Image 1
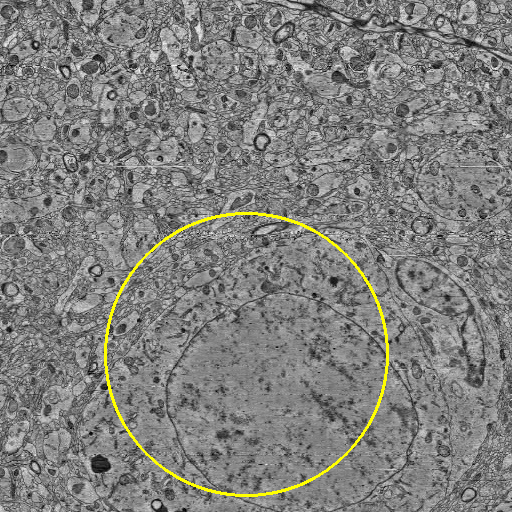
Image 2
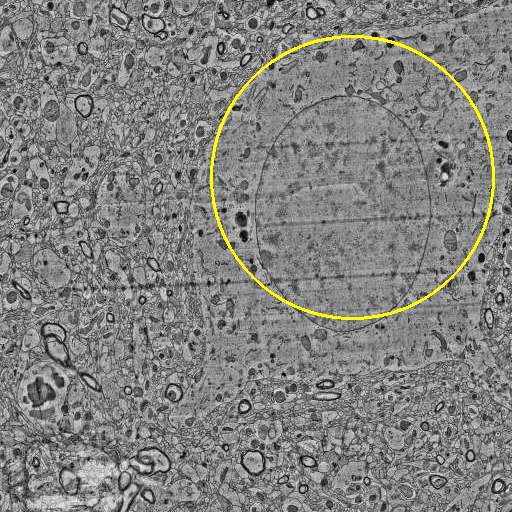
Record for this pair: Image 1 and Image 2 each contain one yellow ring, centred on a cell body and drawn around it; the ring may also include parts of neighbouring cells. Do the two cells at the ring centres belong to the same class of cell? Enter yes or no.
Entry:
yes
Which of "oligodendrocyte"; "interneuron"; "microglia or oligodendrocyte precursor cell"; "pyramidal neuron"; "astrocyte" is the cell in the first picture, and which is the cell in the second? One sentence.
Each of the ringed cells, first and second, is a pyramidal neuron.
